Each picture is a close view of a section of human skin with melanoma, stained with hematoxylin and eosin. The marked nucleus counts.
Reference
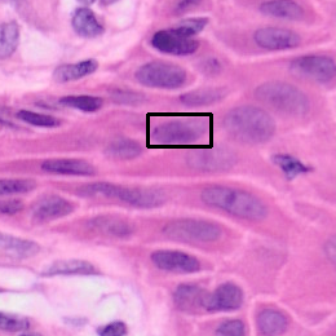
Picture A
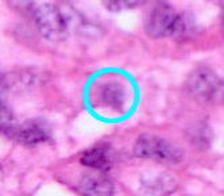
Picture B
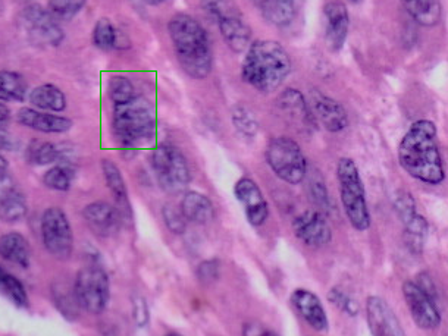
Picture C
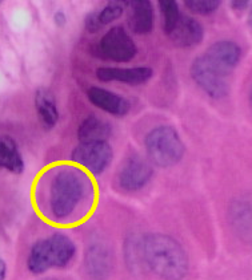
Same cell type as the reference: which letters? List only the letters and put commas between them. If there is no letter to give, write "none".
C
